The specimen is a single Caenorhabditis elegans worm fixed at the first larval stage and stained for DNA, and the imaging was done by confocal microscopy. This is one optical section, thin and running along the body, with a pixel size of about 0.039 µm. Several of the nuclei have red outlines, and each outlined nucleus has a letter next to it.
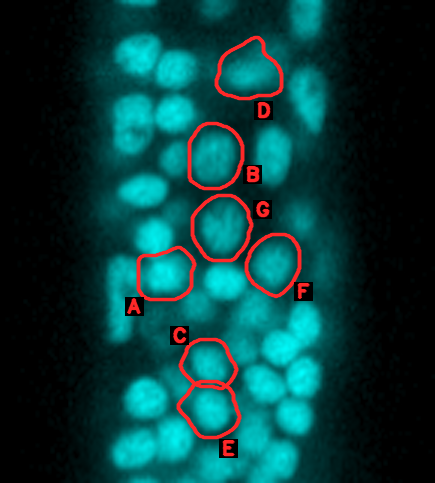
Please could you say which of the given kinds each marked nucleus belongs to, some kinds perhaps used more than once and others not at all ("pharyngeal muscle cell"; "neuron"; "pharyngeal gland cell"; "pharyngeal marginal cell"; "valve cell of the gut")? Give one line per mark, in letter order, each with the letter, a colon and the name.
A: neuron
B: pharyngeal muscle cell
C: neuron
D: valve cell of the gut
E: neuron
F: pharyngeal gland cell
G: pharyngeal muscle cell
